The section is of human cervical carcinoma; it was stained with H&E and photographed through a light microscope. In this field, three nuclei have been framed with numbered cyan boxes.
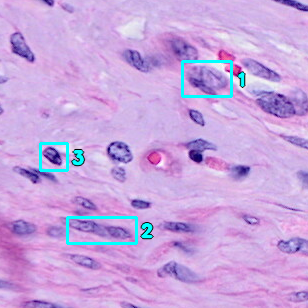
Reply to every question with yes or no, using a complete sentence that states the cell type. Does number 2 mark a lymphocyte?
No, cell 2 is identified not as a lymphocyte but as a smooth muscle cell.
